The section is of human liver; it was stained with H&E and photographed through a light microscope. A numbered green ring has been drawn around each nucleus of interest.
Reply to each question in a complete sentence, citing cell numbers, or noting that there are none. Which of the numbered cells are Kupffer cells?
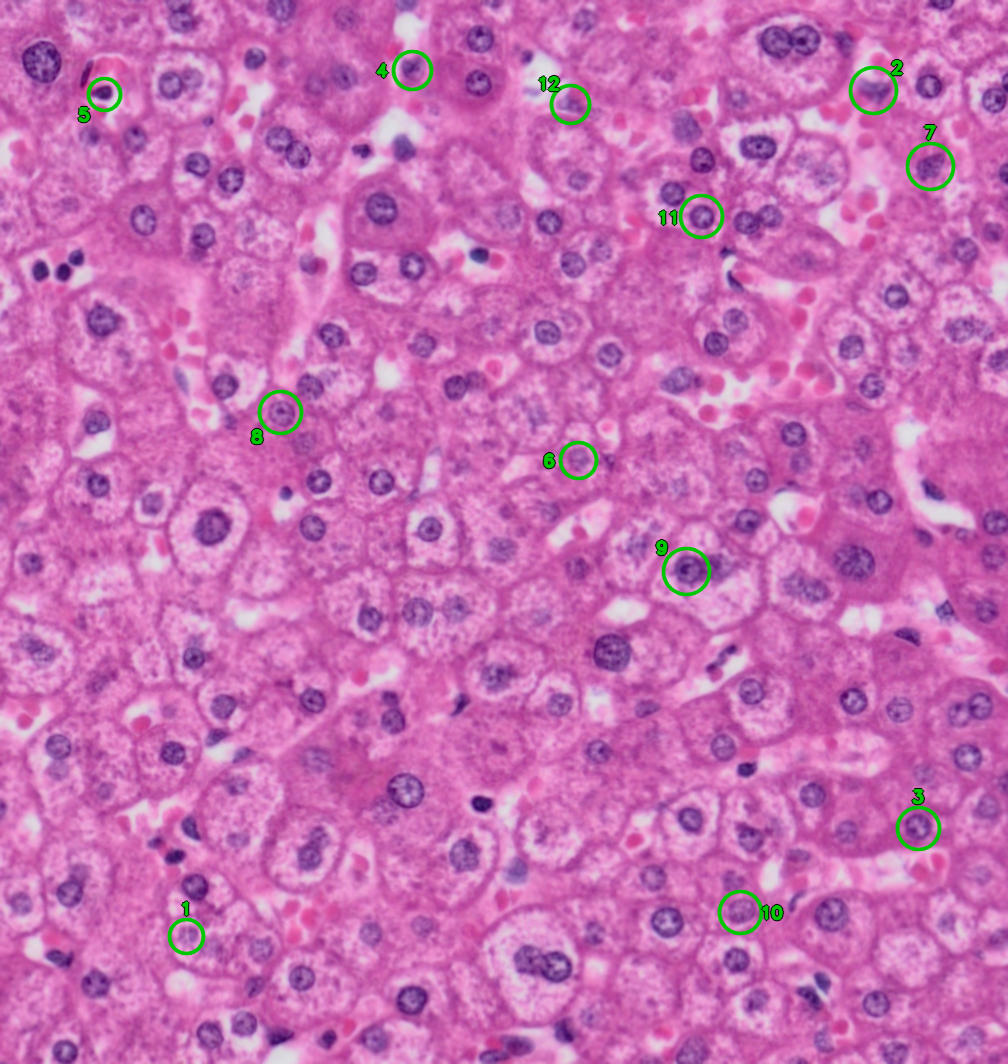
Only the cell marked 4 is a Kupffer cell.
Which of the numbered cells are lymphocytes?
Nothing but cell 5 is a lymphocyte among the numbered ones.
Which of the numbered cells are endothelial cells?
The cells numbered 2 and 12 are identified as endothelial cells.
